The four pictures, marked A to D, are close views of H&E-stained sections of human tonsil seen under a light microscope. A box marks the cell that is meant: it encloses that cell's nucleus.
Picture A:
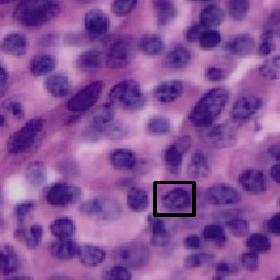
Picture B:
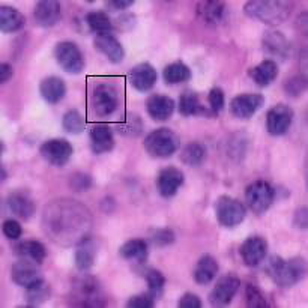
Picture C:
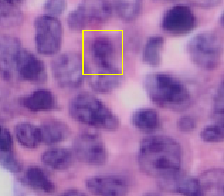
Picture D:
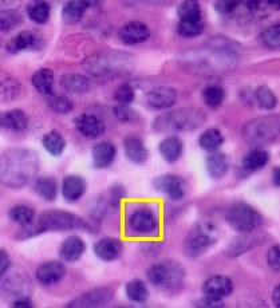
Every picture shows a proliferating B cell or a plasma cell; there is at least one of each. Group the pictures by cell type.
A: plasma cell
B: plasma cell
C: proliferating B cell
D: plasma cell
